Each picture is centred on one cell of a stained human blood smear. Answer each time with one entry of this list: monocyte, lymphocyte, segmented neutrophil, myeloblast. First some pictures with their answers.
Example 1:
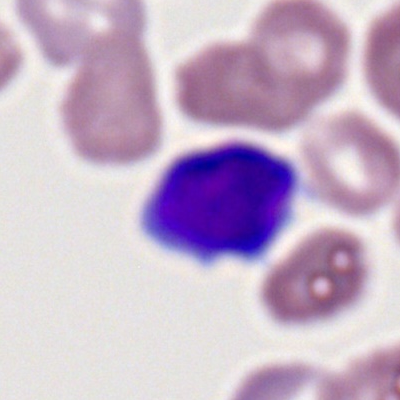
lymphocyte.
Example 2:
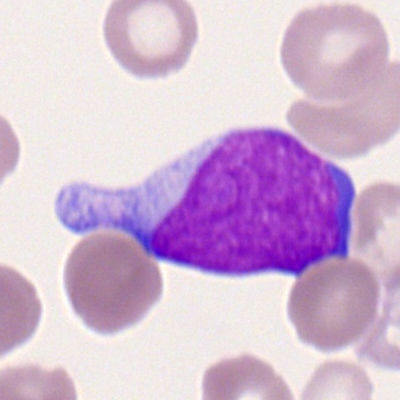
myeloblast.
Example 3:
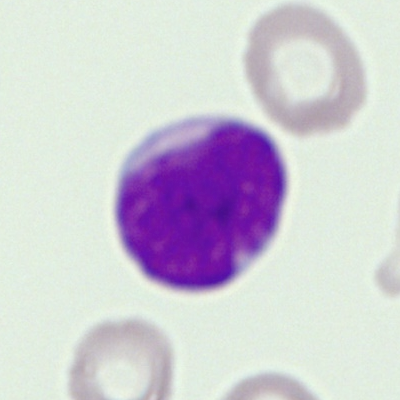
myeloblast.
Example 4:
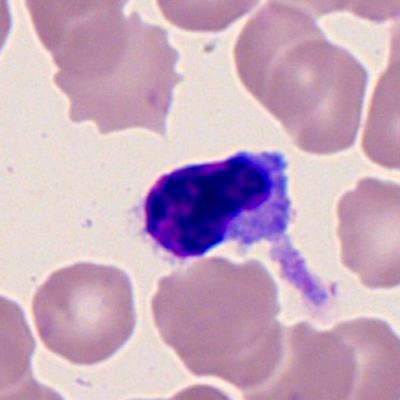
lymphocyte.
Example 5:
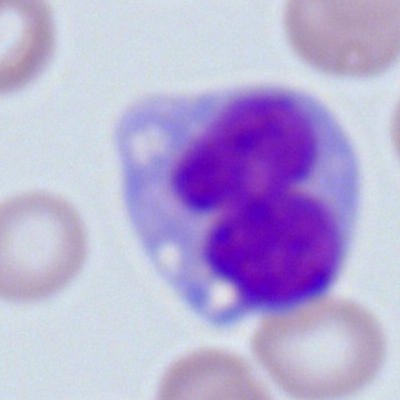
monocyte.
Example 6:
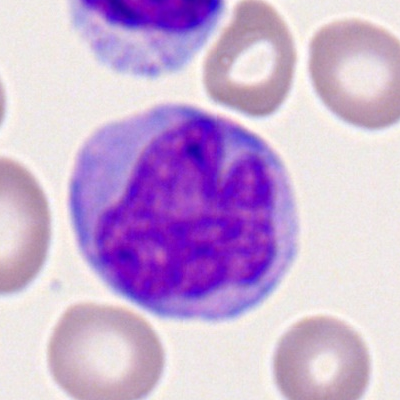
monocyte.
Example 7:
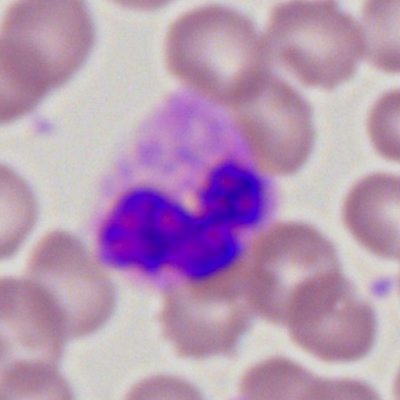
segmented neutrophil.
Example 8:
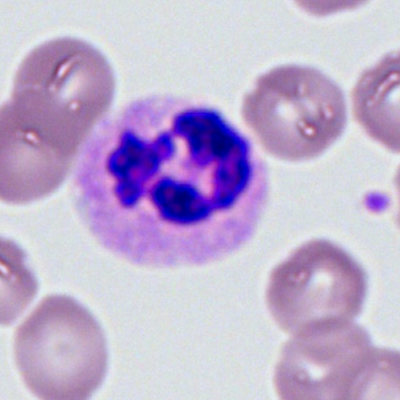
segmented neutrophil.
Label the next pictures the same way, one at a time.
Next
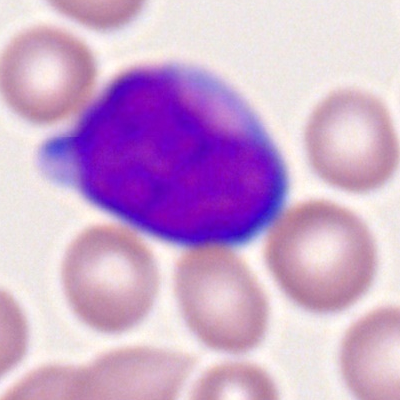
myeloblast.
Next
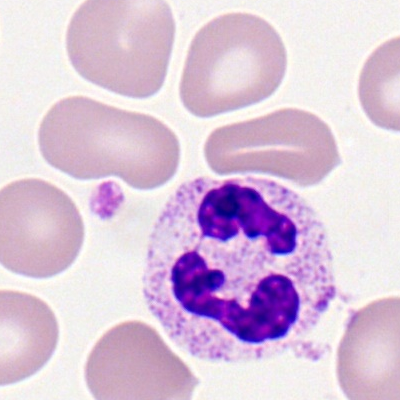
segmented neutrophil.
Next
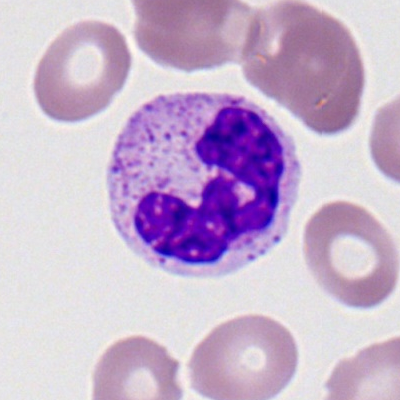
segmented neutrophil.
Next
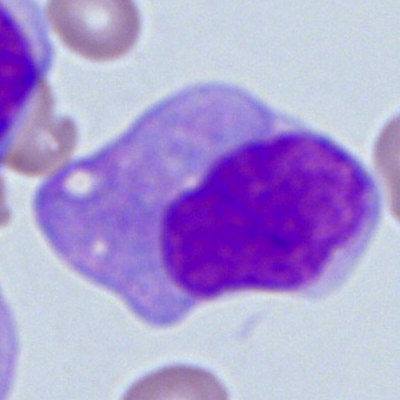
monocyte.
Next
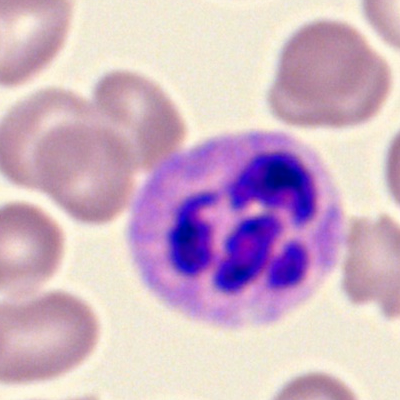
segmented neutrophil.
